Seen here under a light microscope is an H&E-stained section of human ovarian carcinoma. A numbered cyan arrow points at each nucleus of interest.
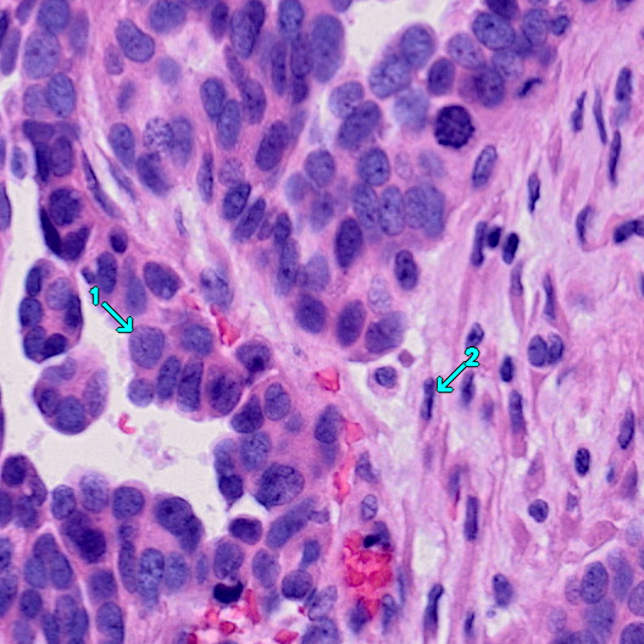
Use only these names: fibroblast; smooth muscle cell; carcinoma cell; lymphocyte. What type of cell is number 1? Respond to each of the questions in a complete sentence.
The cell numbered 1 represents a carcinoma cell.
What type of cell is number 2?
The cell pointed out as number 2 is a fibroblast.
